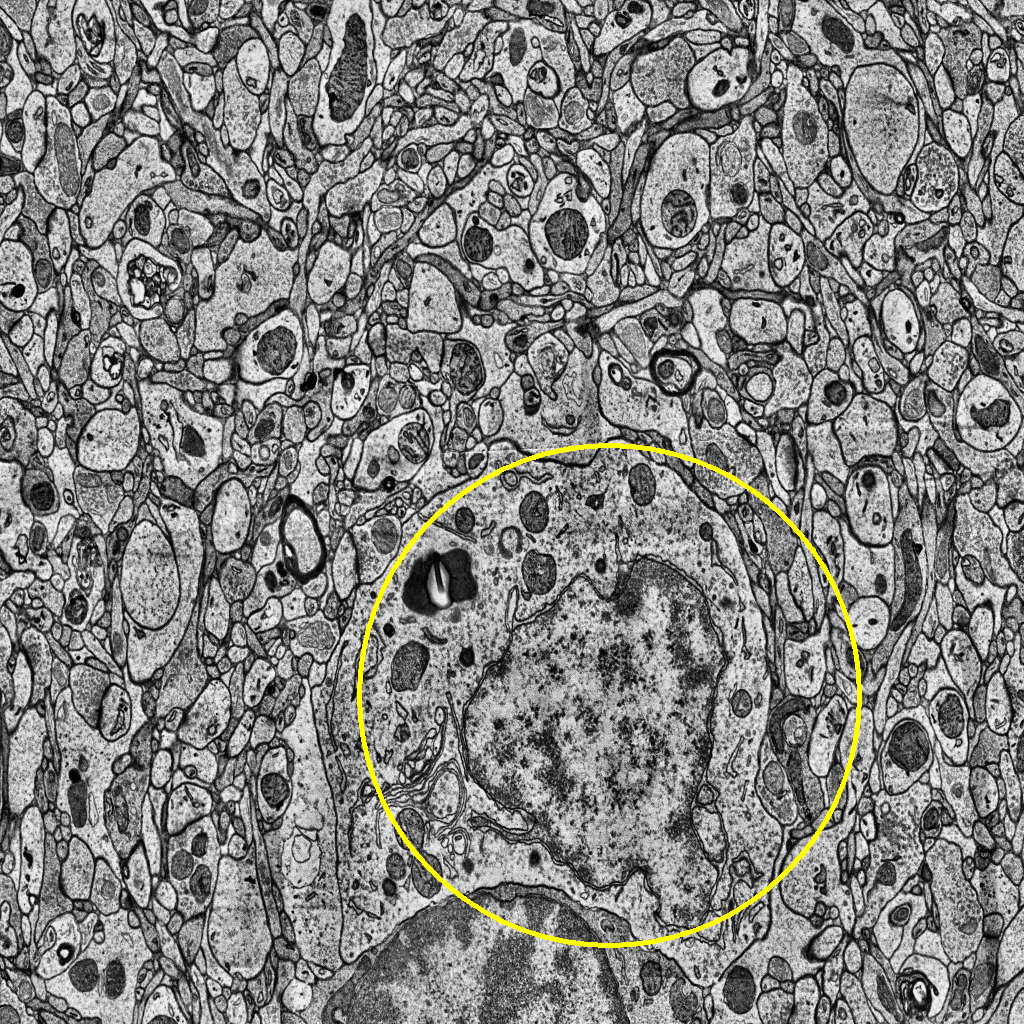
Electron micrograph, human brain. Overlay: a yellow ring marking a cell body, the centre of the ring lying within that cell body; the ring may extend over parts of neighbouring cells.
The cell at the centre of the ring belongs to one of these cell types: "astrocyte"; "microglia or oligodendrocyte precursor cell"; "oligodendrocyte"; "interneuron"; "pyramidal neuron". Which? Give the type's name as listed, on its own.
interneuron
